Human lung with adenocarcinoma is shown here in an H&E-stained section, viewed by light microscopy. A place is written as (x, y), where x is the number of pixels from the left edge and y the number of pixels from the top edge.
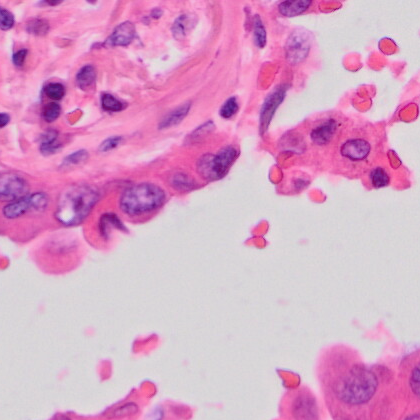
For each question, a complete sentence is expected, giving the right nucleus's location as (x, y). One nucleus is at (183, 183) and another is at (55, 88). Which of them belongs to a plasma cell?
The one belonging to a plasma cell is the nucleus at (55, 88), not the other.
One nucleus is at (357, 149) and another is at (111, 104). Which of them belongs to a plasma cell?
Of the two nuclei, the one at (111, 104) belongs to a plasma cell.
